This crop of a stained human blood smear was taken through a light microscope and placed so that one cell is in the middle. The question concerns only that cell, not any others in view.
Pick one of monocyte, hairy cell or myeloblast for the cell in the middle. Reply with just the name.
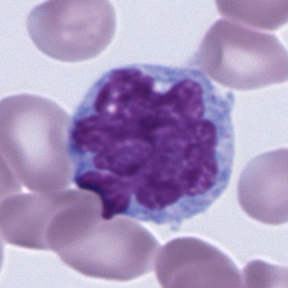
monocyte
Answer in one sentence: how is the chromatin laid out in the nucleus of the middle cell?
The chromatin within its nucleus forms coarse clumps.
